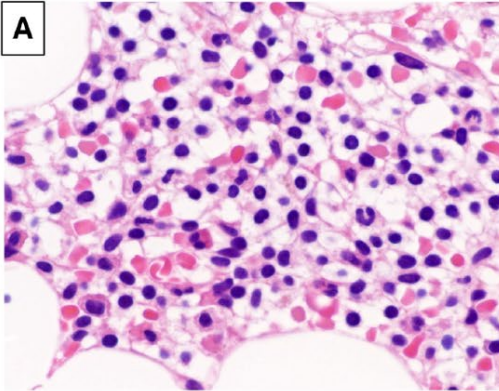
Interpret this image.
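This marrow space is filled by a diffuse, even sheet of mature lymphoid cells. Each cell has a small, dark purple, round or oval nucleus with dense chromatin and no obvious nucleolus, and the nucleus is surrounded by a wide rim of pale, clear cytoplasm. Because the clear cytoplasm keeps the nuclei apart at fairly regular distances, each cell looks like a fried egg, the nucleus the yolk and the pale cytoplasm the white. Scattered pink red blood cells lie between them, and large empty fat spaces border the field.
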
